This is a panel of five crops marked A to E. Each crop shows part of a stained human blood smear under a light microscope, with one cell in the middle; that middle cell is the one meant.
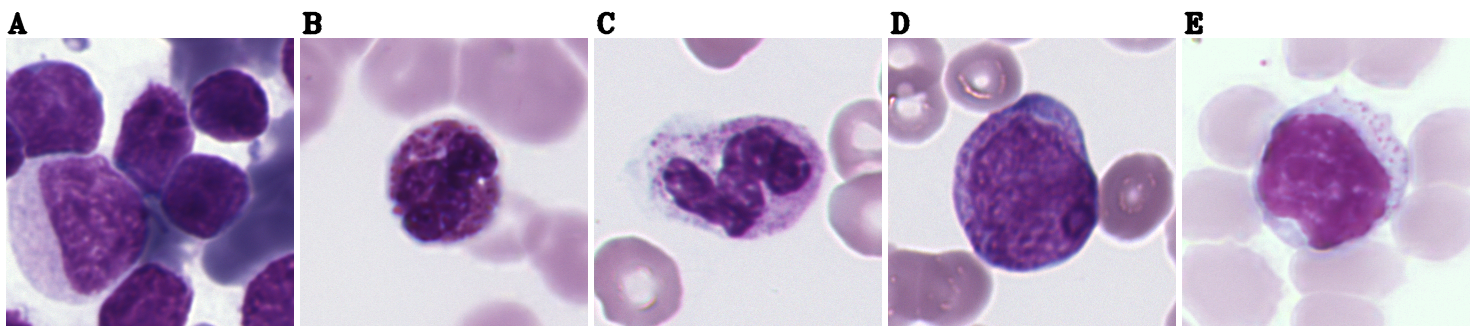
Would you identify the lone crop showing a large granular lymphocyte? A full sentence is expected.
Crop E matches the request, showing a large granular lymphocyte.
